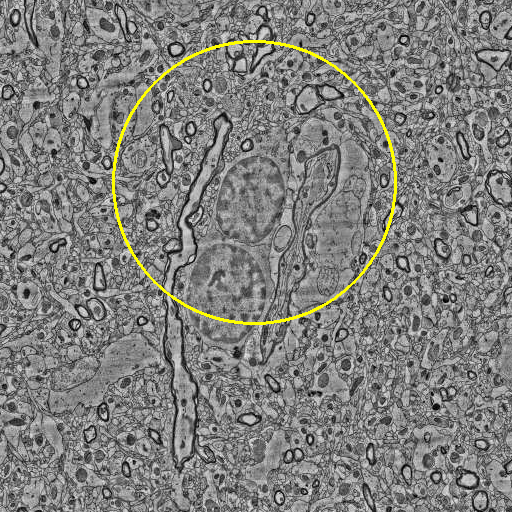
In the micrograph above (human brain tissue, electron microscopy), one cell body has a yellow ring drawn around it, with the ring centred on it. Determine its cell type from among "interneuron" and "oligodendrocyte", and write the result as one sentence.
The cell whose body is ringed is an oligodendrocyte.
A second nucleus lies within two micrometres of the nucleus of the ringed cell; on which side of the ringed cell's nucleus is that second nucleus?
The other one is below it.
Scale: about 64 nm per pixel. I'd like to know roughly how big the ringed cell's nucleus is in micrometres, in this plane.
The nucleus is approximately 6 micrometers long by 4 micrometers wide in this plane.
